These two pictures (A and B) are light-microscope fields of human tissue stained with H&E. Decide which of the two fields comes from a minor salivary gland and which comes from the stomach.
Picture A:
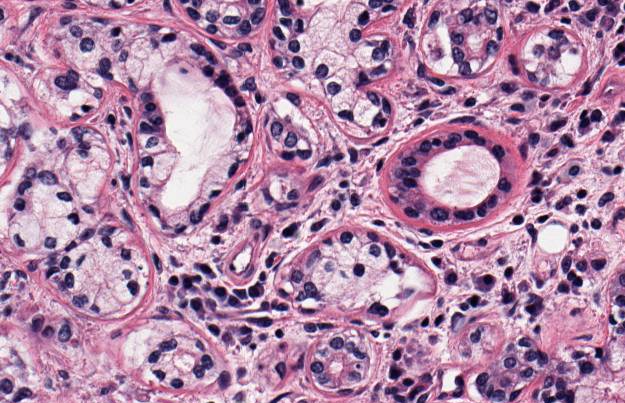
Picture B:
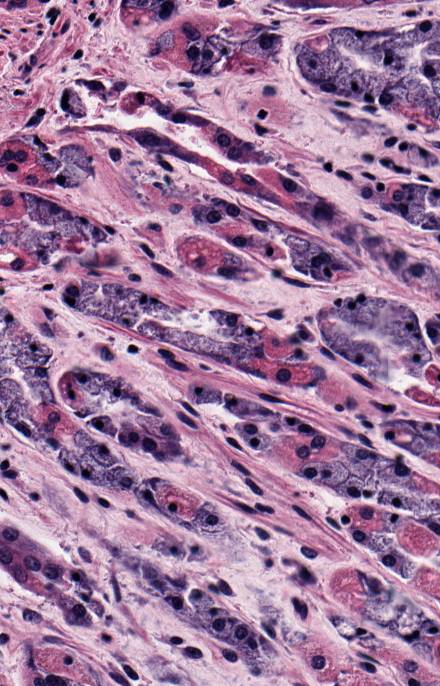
A: minor salivary gland
B: stomach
